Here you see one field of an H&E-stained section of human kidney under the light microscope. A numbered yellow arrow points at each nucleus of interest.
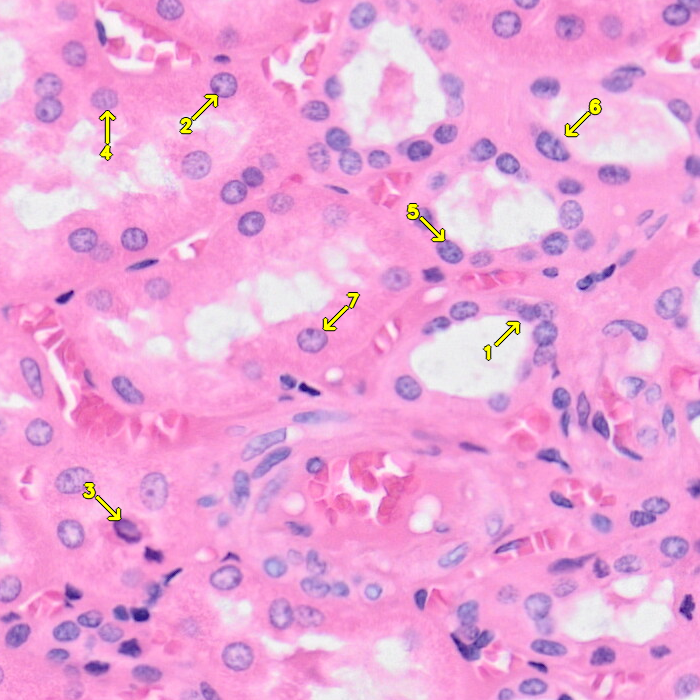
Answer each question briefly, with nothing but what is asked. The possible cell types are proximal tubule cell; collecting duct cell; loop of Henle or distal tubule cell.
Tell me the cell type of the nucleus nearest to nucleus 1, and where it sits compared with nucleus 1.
a collecting duct cell below and to the right of nucleus 1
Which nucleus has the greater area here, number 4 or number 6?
6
